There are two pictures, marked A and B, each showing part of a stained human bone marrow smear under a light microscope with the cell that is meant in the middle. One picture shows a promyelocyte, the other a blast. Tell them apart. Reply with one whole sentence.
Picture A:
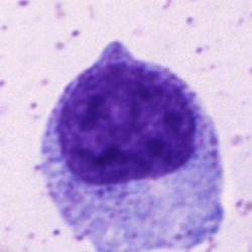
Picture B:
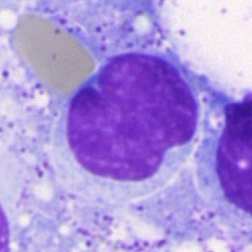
Picture A is of a promyelocyte, and picture B is of a blast.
